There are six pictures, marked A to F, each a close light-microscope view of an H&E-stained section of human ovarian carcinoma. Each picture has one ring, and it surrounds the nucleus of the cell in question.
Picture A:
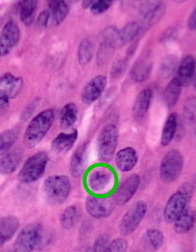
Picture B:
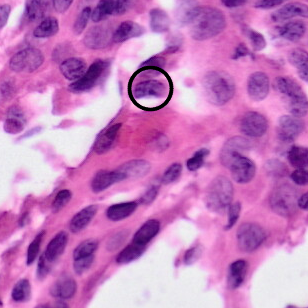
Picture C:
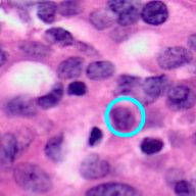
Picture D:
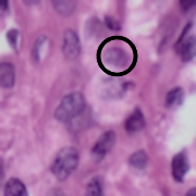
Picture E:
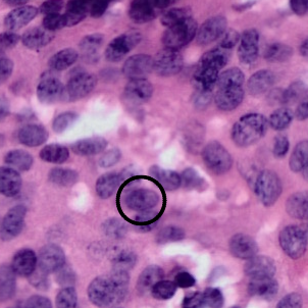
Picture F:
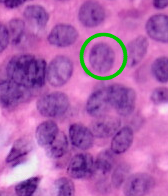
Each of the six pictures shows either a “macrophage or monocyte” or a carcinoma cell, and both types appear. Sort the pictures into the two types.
A: macrophage or monocyte
B: macrophage or monocyte
C: carcinoma cell
D: macrophage or monocyte
E: carcinoma cell
F: carcinoma cell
